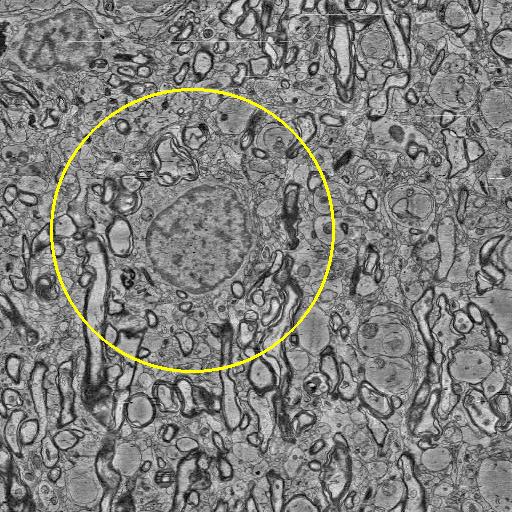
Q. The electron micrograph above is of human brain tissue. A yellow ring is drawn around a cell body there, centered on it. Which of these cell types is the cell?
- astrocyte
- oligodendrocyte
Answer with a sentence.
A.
The cell under the ring's center is an oligodendrocyte.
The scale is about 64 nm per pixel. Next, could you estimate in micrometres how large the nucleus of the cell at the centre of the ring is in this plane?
The nucleus comes to roughly 7 by 6 micrometres in this plane.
